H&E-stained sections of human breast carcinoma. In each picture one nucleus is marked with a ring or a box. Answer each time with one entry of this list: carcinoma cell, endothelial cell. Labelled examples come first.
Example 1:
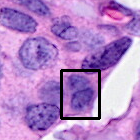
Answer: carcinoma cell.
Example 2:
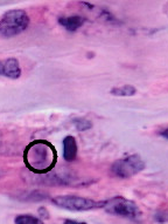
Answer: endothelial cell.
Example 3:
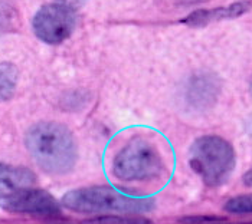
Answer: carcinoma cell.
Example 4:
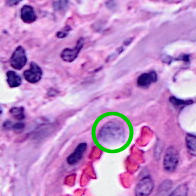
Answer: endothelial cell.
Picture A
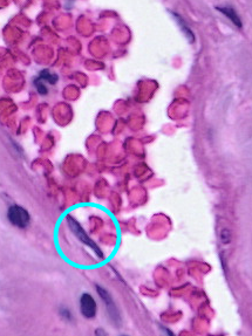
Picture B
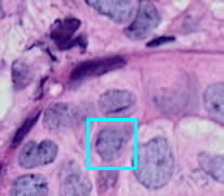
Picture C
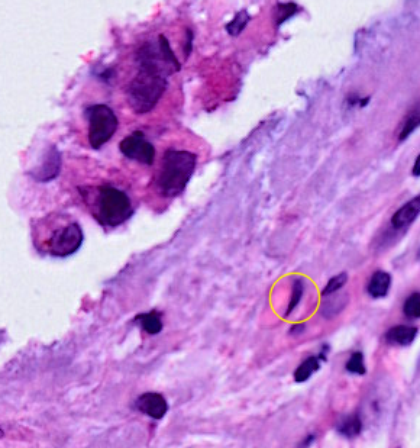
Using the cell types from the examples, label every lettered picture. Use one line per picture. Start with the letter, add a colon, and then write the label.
A: endothelial cell.
B: carcinoma cell.
C: endothelial cell.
